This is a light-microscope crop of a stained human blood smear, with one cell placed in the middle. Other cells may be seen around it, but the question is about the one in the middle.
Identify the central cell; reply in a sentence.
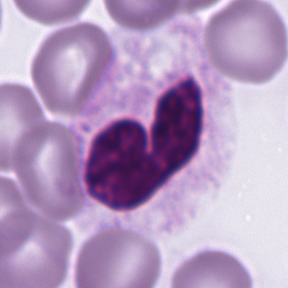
Seen at the centre of the crop is a band neutrophil.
